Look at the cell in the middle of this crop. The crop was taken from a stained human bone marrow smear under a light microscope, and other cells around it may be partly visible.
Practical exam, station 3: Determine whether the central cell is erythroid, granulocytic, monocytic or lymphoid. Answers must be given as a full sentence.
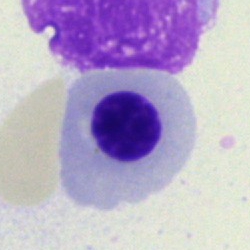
The erythroid lineage is the lineage of the cell in the middle.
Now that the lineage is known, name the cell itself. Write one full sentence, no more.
The cell at the heart of this crop is an erythroblast.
